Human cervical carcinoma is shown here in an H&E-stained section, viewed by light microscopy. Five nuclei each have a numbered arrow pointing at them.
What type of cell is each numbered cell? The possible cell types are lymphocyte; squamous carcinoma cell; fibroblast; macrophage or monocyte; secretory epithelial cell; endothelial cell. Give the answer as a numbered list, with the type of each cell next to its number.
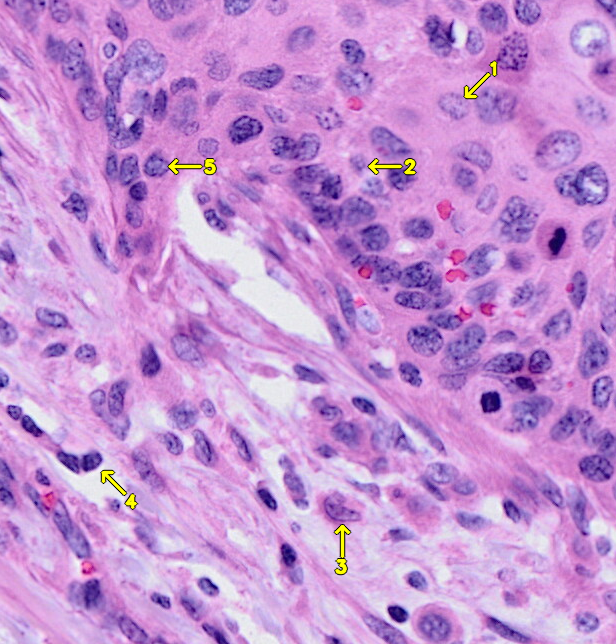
1. squamous carcinoma cell
2. squamous carcinoma cell
3. macrophage or monocyte
4. lymphocyte
5. squamous carcinoma cell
